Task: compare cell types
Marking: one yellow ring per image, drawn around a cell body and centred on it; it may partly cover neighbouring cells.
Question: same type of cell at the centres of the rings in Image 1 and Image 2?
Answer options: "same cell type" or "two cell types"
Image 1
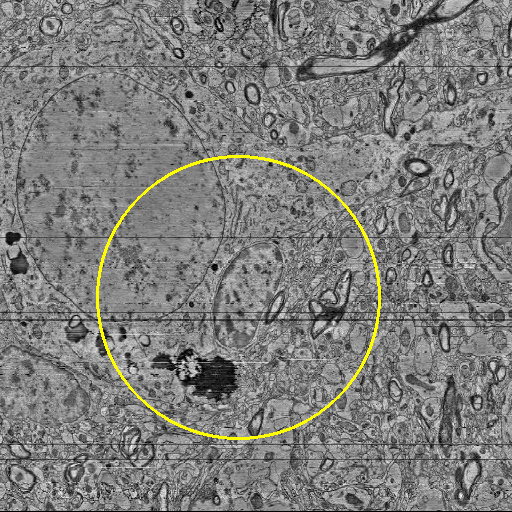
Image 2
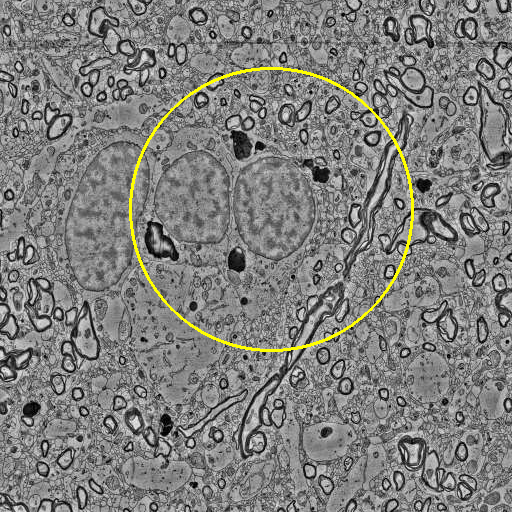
two cell types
